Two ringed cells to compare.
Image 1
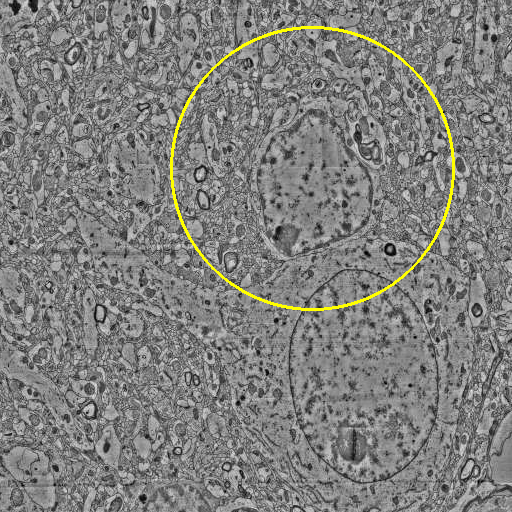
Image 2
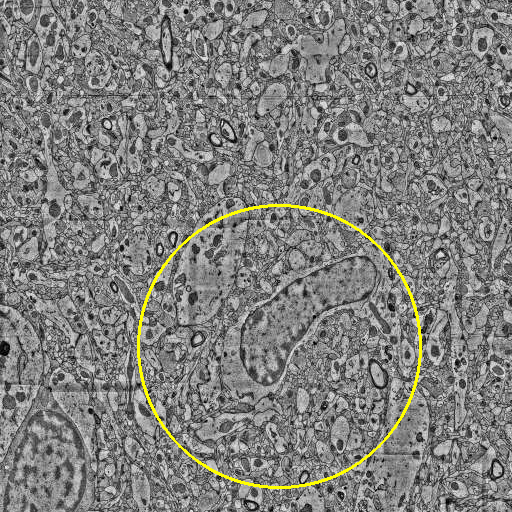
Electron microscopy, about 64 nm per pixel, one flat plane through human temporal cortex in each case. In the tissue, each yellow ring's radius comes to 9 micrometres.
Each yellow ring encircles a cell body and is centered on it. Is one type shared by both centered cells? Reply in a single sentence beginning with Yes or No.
No, two types are found among the cells at the centers of the rings.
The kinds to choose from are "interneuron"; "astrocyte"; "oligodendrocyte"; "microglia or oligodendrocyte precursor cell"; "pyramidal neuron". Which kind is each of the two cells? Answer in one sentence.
Of the two, the first cell is an interneuron and the second cell is a microglial cell or oligodendrocyte precursor cell.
